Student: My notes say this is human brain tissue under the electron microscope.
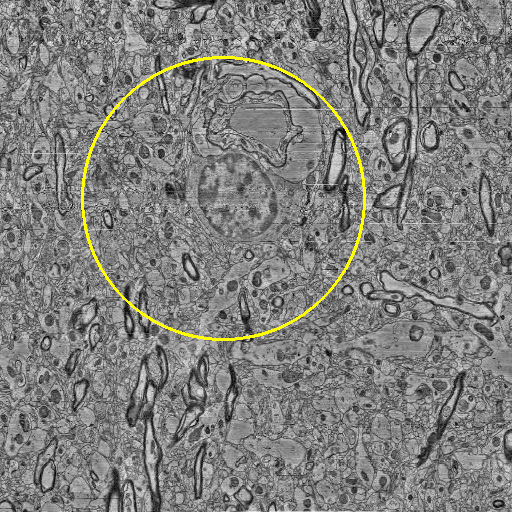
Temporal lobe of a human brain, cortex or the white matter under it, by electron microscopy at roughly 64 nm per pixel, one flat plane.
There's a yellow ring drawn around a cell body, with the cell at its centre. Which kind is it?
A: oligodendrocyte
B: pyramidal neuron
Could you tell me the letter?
A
